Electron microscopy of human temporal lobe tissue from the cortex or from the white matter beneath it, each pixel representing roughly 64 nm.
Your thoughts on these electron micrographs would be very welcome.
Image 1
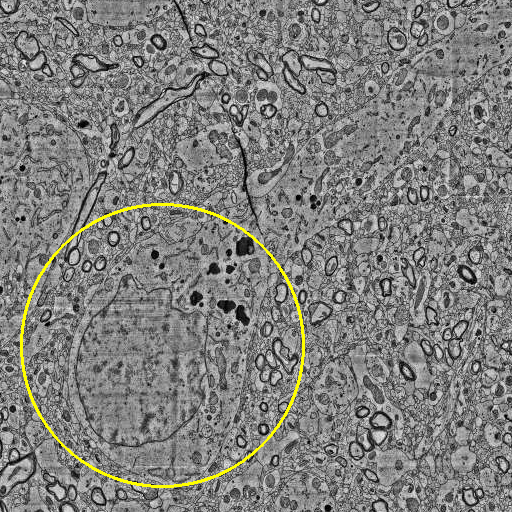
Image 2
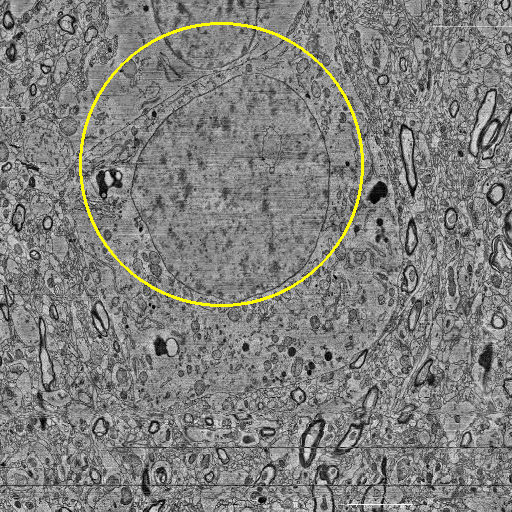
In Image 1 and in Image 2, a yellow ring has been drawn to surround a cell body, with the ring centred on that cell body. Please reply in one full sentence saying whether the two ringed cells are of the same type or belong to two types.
The ringed cells in Image 1 and Image 2 are of the same type.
